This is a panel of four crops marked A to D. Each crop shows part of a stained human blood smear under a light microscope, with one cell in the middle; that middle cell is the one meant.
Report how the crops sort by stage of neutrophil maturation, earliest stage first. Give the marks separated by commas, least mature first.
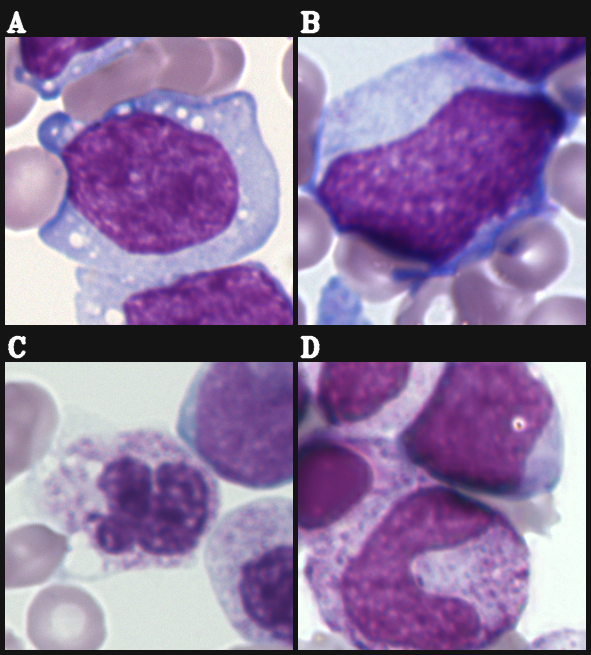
A, B, D, C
